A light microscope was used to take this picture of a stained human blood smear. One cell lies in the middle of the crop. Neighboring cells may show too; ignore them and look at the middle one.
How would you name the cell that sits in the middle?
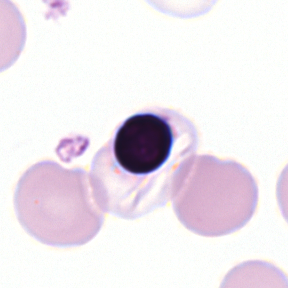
erythroblast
